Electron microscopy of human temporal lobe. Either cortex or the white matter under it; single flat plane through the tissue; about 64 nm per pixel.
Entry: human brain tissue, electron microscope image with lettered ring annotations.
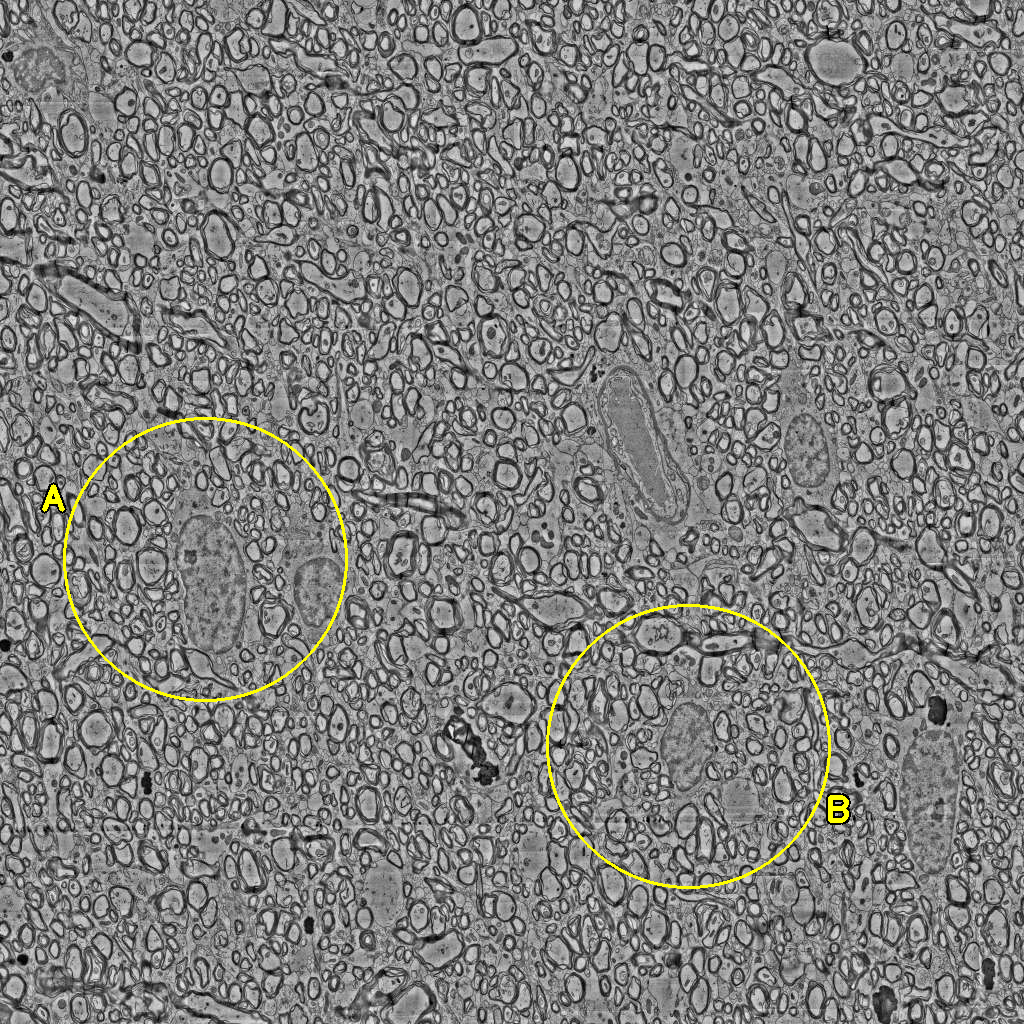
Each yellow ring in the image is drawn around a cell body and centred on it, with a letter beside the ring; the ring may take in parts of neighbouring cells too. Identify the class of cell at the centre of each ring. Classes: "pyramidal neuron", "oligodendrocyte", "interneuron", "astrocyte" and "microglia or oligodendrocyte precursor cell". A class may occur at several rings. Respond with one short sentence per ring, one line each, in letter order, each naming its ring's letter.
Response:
Ring A holds an oligodendrocyte at its centre.
Ring B holds an oligodendrocyte at its centre.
